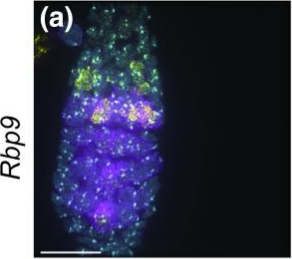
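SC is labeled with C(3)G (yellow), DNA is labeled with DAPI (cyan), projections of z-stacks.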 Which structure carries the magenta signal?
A: cysts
